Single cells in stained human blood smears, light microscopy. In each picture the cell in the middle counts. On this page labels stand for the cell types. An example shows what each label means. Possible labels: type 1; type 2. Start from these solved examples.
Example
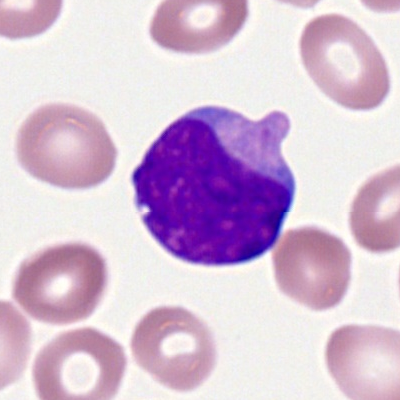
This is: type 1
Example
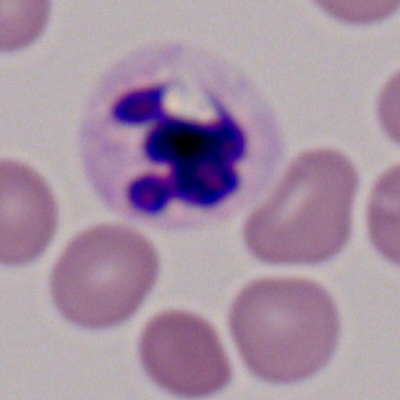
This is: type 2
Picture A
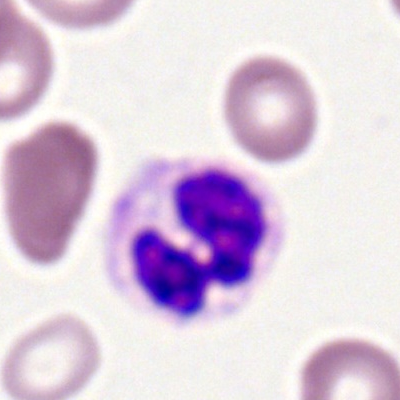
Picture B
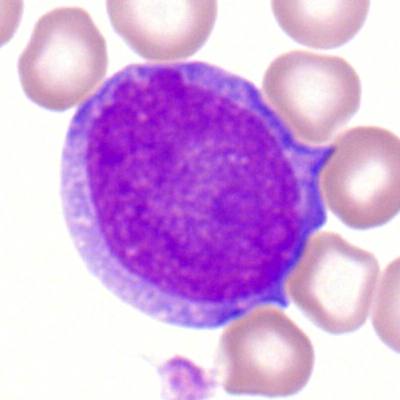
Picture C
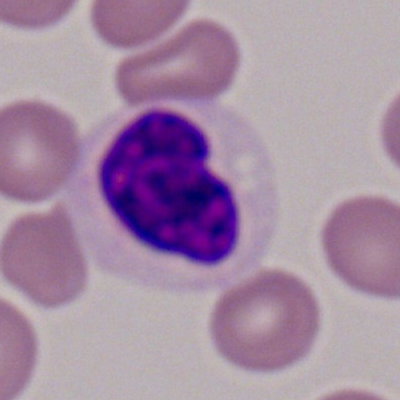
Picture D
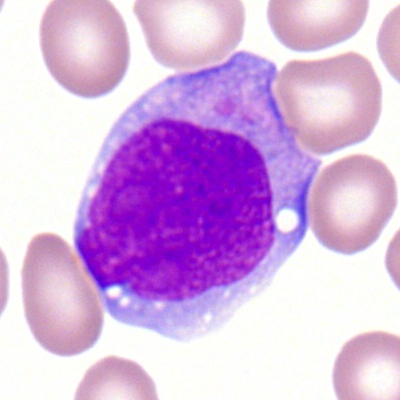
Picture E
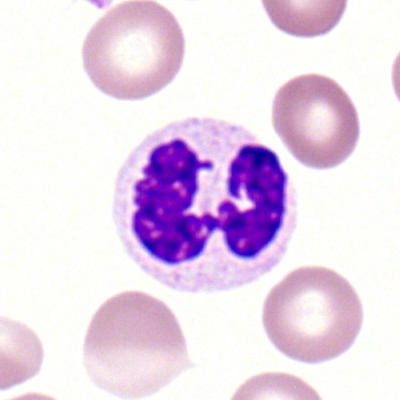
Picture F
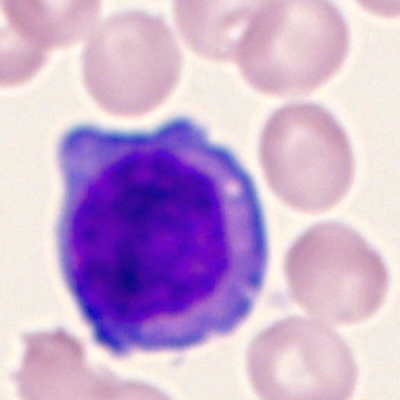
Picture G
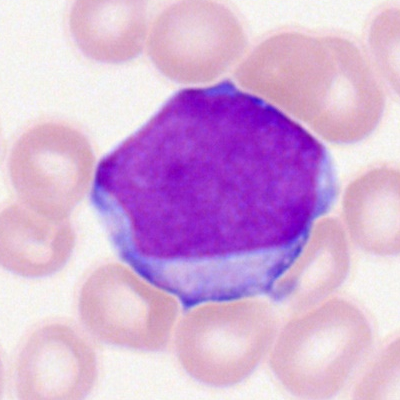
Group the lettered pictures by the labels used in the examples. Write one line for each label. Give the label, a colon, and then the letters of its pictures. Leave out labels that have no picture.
type 1: B, D, F, G
type 2: A, C, E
